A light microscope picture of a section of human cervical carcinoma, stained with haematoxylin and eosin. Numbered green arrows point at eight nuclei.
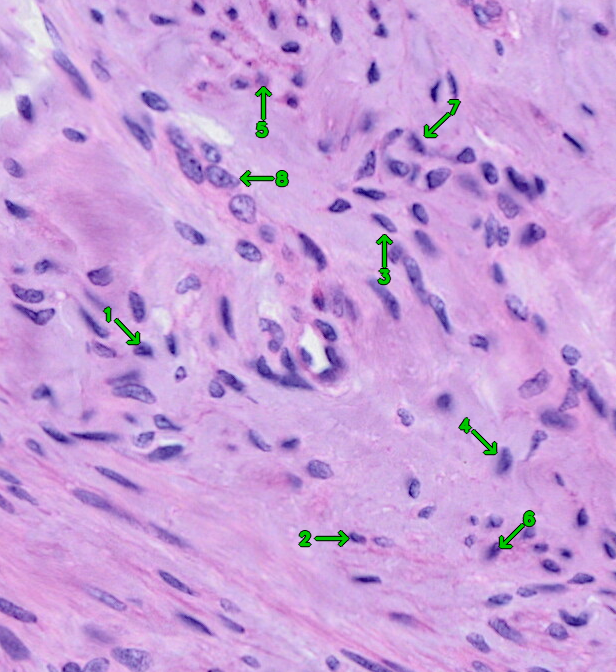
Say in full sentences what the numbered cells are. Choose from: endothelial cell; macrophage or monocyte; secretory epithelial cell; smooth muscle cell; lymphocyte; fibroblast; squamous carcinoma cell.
Cells 1, 3, 4 and 7 are fibroblasts. Cells 2, 5 and 6 are smooth muscle cells. Cell 8 is an endothelial cell.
